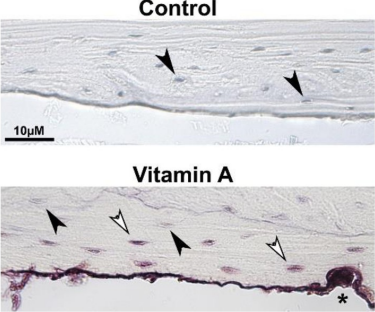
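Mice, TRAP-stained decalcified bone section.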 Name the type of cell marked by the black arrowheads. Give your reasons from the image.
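Small elongated cells lie singly within the bone matrix. Their long axes run parallel to the layered matrix. They are spaced apart, each in its own small space.
Osteocytes.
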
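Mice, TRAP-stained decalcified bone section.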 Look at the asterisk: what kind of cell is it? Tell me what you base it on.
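A large, intensely dark purple cell sits on the lower bone surface at the bottom right of the lower image. It bulges out from the surface rather than lying inside the matrix.
Hence: osteoclast.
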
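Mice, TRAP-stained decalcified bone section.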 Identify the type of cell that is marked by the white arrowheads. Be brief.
osteocytes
